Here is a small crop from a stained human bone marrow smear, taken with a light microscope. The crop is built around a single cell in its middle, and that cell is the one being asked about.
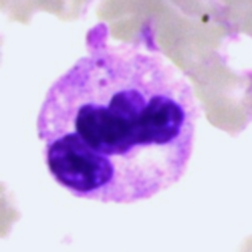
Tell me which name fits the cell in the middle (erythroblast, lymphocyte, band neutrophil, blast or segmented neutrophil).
segmented neutrophil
